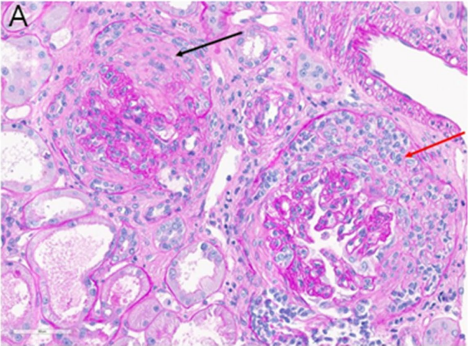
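Two glomeruli lie side by side, each with a crescent filling Bowman's space around the capillary tuft. In the right glomerulus several layers of plump cells with round nuclei fill the space between the tuft and the capsule, forming a cellular crescent. The capillary tufts are compressed and their magenta basement membranes look wrinkled. Tubules with magenta basement membranes and cuboidal lining cells surround the glomeruli.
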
